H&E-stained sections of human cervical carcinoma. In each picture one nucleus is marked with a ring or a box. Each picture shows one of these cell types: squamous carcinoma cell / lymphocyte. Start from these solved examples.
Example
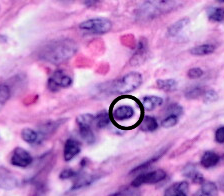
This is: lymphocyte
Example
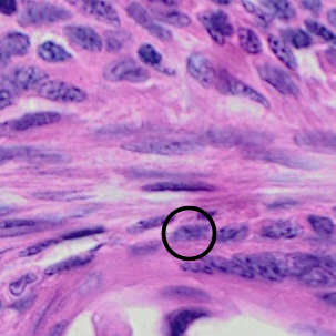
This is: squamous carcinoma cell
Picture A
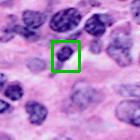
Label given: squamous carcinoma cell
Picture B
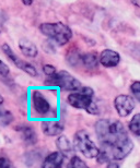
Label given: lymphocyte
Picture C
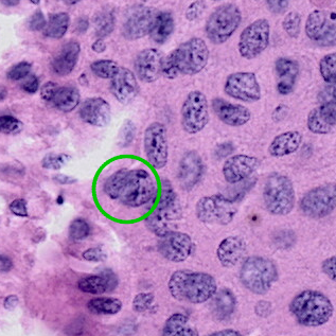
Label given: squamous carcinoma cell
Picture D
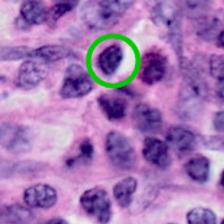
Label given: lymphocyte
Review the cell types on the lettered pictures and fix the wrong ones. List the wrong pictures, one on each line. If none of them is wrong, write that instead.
Wrong: A (squamous carcinoma cell); correct: lymphocyte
